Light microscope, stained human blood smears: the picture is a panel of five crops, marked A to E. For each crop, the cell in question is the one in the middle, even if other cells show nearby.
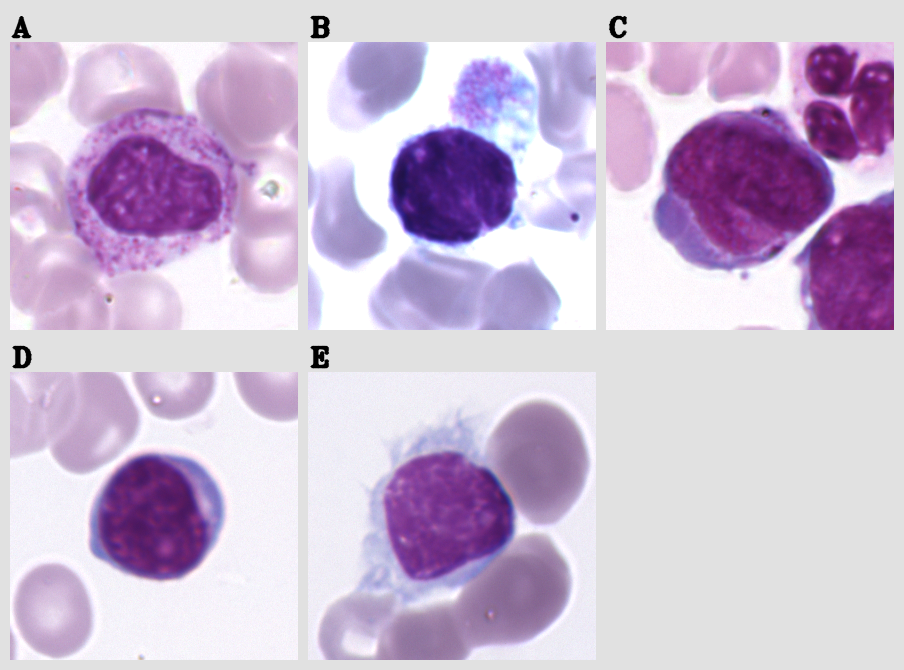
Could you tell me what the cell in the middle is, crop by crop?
A: metamyelocyte
B: typical lymphocyte
C: atypical promyelocyte
D: typical lymphocyte
E: hairy cell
